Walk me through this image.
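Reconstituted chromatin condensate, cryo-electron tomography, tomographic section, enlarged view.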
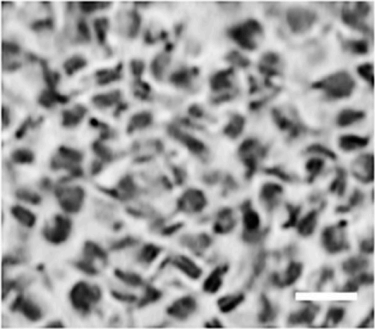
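Depending on their orientation in the section, the particles appear as roughly round discs, as short bars, or as oval shapes. The particles are irregularly arranged and show no regular lattice.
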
